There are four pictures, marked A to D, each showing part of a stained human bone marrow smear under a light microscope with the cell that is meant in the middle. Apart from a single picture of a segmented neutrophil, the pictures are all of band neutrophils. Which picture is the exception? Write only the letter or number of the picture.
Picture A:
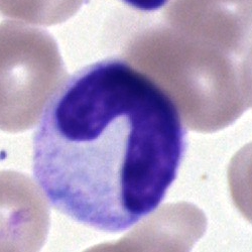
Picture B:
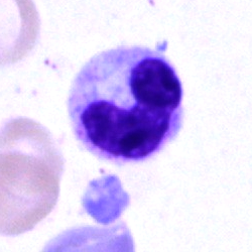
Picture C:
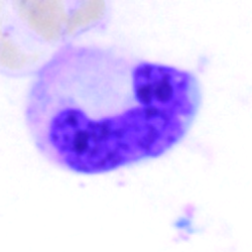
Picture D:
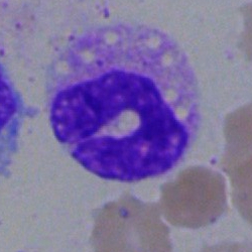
C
